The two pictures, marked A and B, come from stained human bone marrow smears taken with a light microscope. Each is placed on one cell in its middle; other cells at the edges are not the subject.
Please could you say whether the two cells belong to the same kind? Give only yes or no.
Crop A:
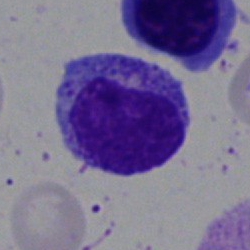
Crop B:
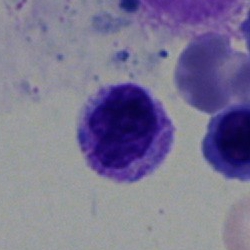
yes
